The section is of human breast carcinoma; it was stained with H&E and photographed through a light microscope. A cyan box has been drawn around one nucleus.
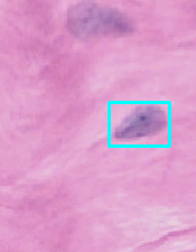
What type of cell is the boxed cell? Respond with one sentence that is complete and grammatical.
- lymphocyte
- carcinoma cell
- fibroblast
Microscopically, the boxed cell is categorized as a fibroblast.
